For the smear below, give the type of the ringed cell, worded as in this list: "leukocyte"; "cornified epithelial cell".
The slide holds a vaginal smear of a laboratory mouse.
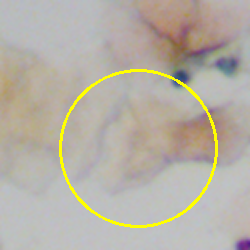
cornified epithelial cell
